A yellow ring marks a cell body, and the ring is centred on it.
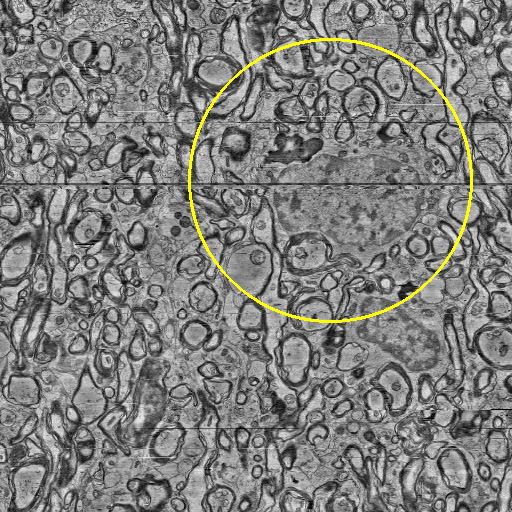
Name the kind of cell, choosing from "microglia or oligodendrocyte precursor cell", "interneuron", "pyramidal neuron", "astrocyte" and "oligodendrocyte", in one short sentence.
The marked cell body belongs to an oligodendrocyte.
